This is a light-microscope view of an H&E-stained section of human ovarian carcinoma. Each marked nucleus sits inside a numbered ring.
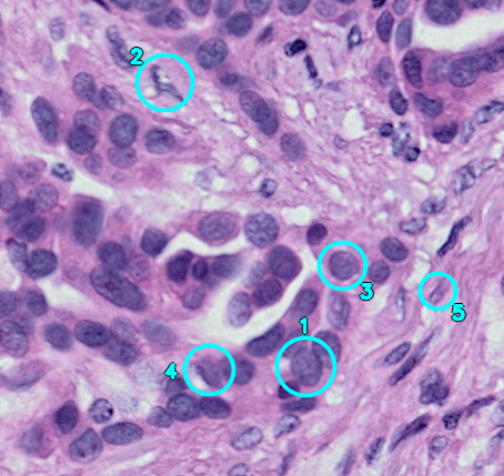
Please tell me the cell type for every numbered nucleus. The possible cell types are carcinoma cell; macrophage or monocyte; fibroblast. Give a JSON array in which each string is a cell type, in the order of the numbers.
["carcinoma cell", "fibroblast", "carcinoma cell", "carcinoma cell", "fibroblast"]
